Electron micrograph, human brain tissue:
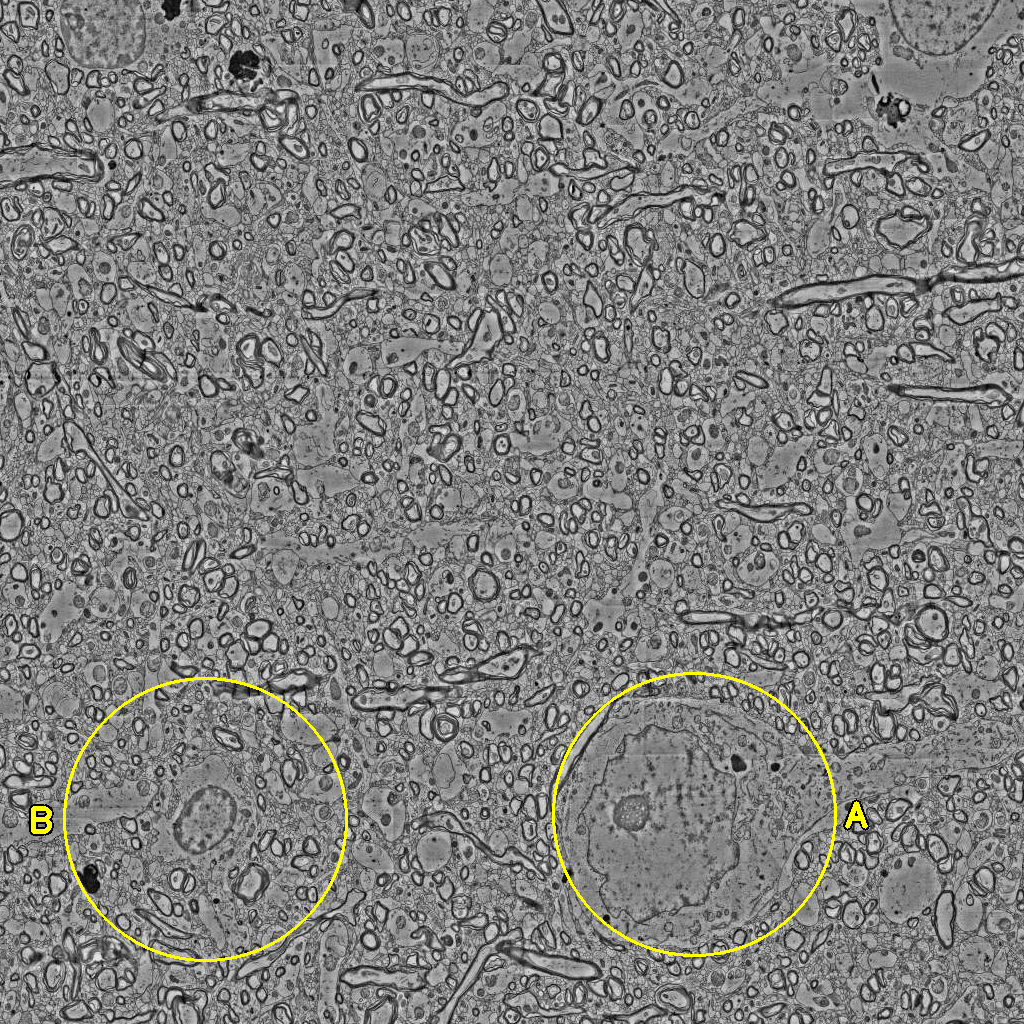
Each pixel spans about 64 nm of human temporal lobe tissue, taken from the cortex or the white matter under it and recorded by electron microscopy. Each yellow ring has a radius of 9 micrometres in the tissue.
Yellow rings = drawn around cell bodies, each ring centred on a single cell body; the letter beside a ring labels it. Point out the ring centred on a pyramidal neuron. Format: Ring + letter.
Ring A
